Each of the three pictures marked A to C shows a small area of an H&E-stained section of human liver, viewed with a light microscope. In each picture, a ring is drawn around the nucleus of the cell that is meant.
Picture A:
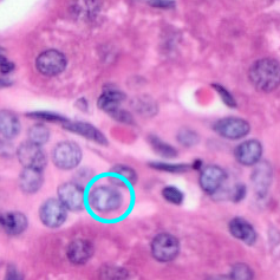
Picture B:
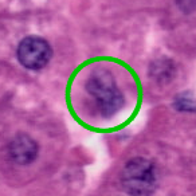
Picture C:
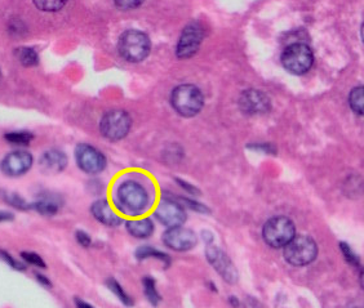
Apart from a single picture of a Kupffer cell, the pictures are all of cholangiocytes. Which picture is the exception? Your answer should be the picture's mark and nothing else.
B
